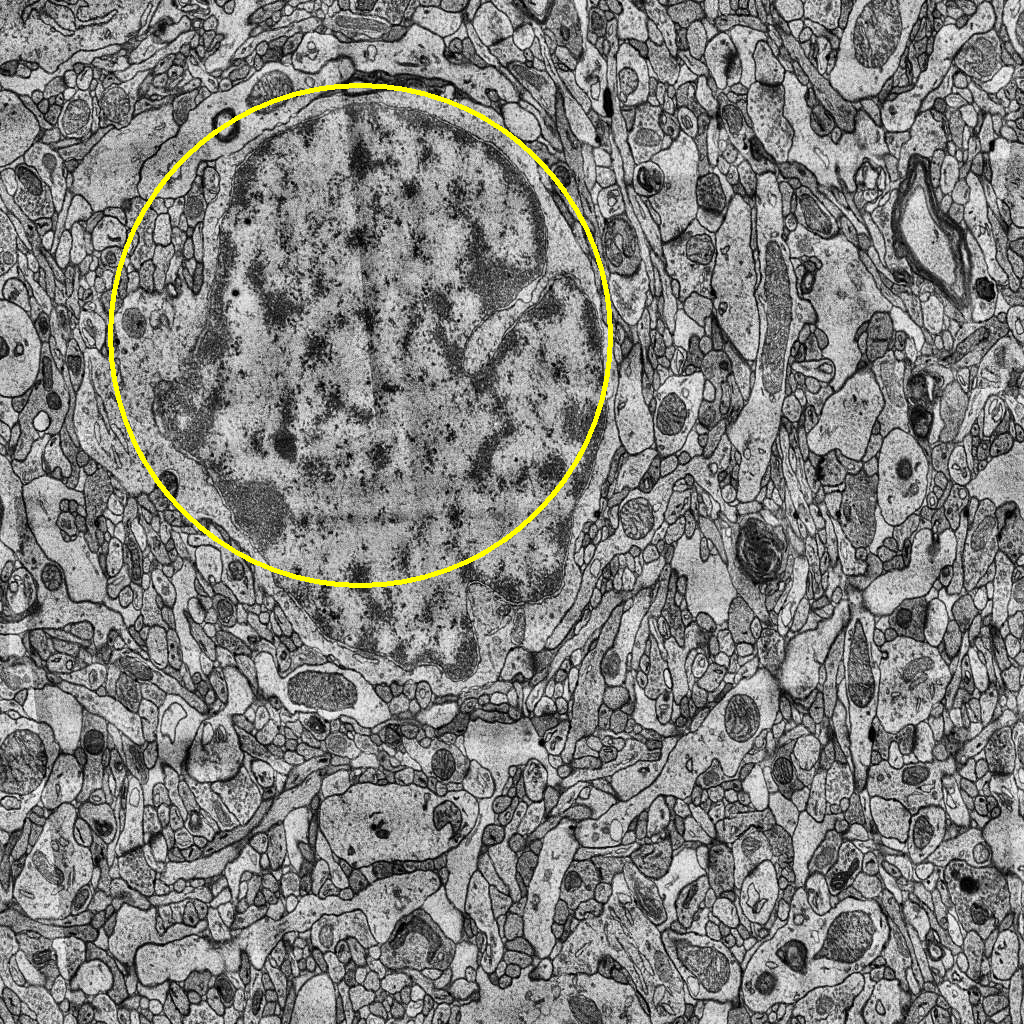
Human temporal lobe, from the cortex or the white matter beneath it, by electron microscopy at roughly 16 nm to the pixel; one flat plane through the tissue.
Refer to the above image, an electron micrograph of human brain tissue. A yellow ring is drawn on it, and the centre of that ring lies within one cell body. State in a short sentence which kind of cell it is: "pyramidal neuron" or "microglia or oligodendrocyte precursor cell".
The centre of the ring falls on a microglial cell or oligodendrocyte precursor cell.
